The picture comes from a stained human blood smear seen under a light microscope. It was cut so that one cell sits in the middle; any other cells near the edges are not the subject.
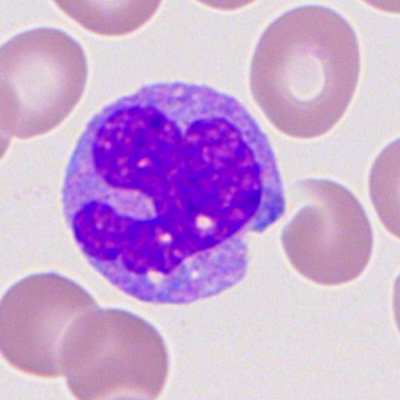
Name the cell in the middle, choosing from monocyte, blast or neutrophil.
monocyte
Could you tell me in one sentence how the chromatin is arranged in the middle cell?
Here the nuclear chromatin is coarsely clumped.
